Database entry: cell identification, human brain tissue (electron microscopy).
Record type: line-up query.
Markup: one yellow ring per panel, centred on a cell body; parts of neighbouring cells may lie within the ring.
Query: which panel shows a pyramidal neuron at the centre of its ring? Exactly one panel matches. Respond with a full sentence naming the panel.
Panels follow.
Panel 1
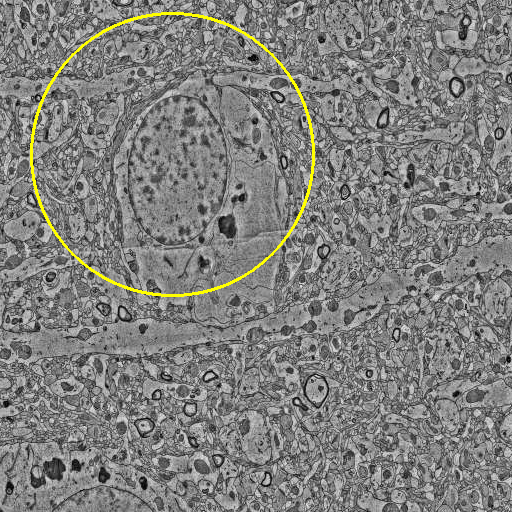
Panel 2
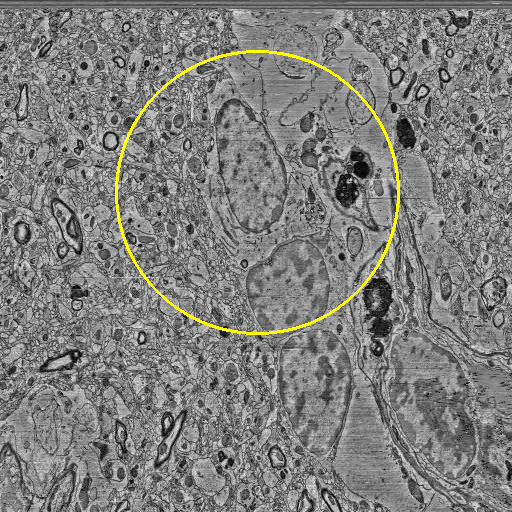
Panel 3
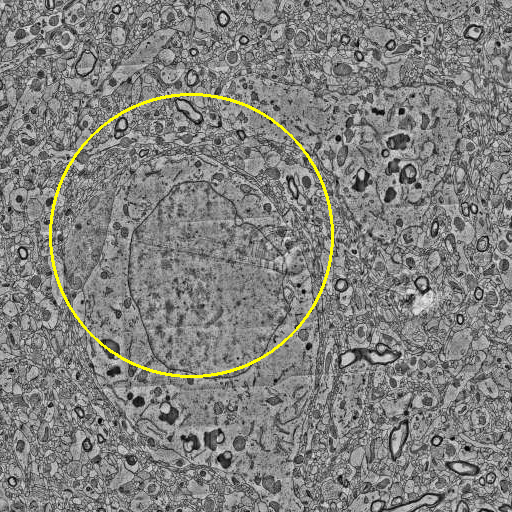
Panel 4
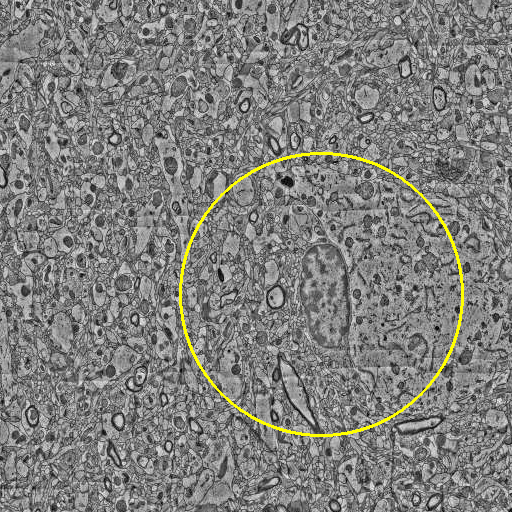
Panel 3 shows it at the centre of the ring.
